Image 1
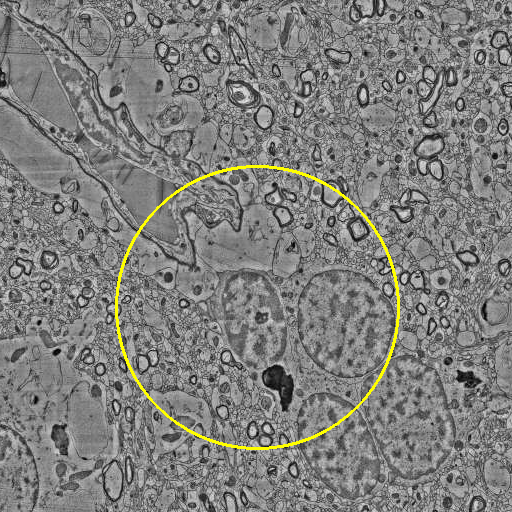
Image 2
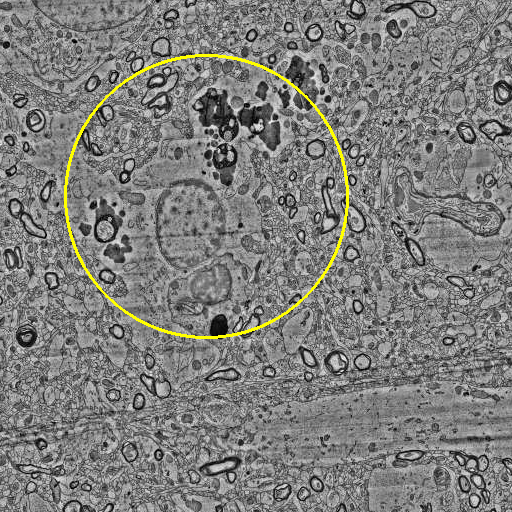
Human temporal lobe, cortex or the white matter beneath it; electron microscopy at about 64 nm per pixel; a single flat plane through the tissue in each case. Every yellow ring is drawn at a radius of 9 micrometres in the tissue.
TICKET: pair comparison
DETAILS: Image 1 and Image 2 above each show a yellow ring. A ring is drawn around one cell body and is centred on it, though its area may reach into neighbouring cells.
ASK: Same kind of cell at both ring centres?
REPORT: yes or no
no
